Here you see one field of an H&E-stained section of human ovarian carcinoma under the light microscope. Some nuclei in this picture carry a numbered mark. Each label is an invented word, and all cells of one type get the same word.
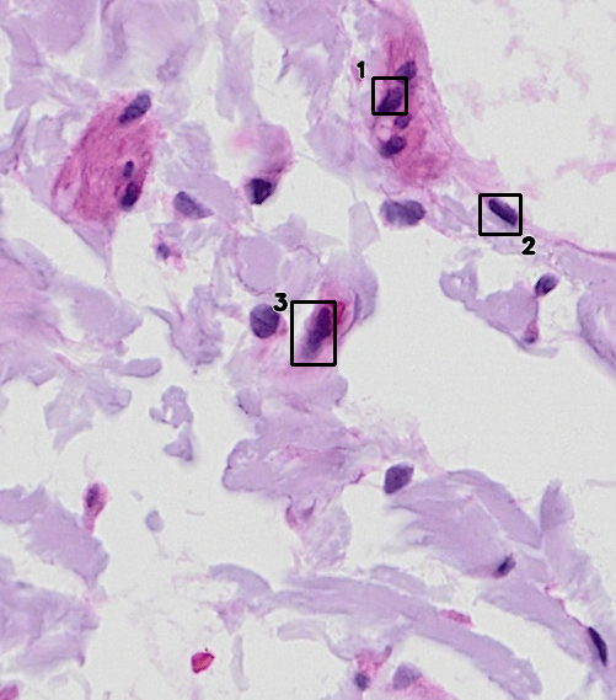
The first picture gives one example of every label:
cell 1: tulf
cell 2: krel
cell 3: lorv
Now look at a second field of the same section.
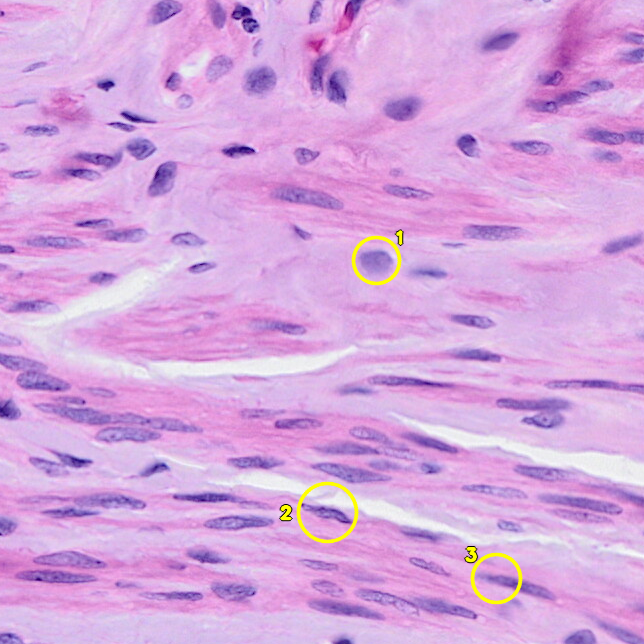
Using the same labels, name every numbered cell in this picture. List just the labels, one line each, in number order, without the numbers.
krel
tulf
tulf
